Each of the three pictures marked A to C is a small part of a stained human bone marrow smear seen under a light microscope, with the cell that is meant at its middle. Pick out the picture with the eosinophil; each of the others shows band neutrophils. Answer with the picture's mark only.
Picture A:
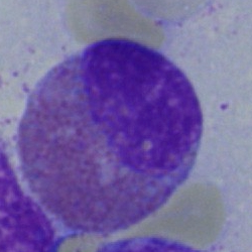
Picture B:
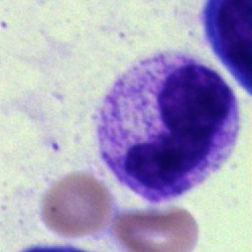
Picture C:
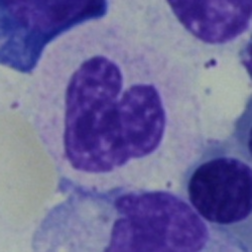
A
